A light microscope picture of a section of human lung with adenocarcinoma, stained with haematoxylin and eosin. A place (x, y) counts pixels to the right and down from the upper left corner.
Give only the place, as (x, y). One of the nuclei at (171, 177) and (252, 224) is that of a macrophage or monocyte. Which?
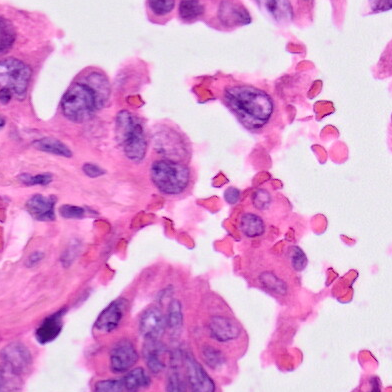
(252, 224)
